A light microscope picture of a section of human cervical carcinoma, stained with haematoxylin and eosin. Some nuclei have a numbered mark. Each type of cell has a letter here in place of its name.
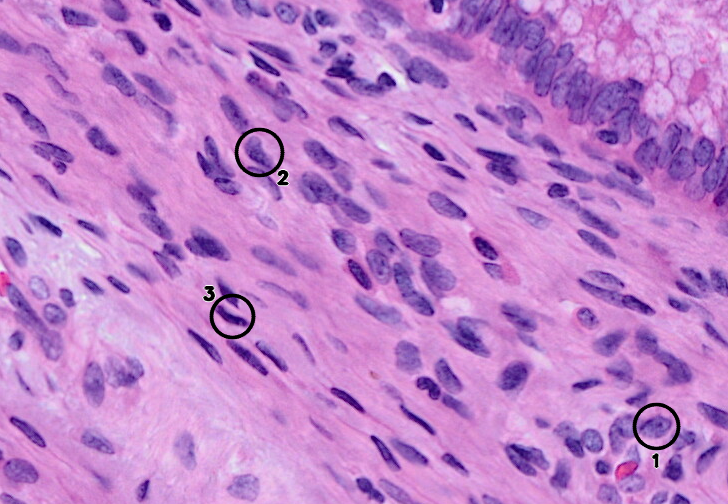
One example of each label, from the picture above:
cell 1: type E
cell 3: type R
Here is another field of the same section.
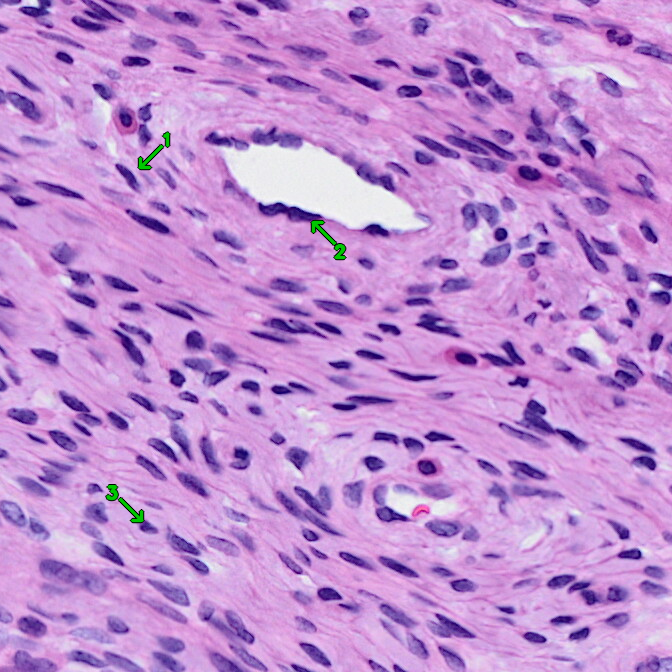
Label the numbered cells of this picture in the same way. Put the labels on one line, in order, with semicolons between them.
type R; type E; type R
